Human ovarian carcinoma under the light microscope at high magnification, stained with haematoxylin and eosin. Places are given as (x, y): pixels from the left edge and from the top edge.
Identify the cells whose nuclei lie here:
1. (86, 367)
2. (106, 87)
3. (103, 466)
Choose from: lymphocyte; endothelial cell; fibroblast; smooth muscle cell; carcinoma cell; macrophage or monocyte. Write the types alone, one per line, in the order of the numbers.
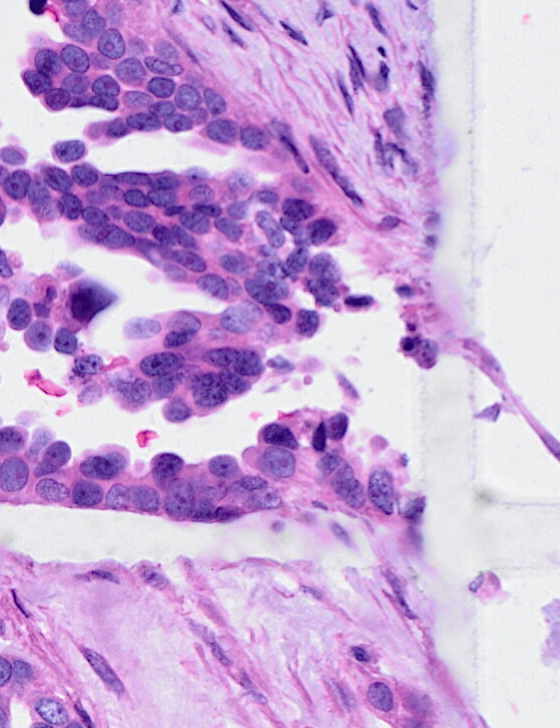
macrophage or monocyte
carcinoma cell
carcinoma cell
